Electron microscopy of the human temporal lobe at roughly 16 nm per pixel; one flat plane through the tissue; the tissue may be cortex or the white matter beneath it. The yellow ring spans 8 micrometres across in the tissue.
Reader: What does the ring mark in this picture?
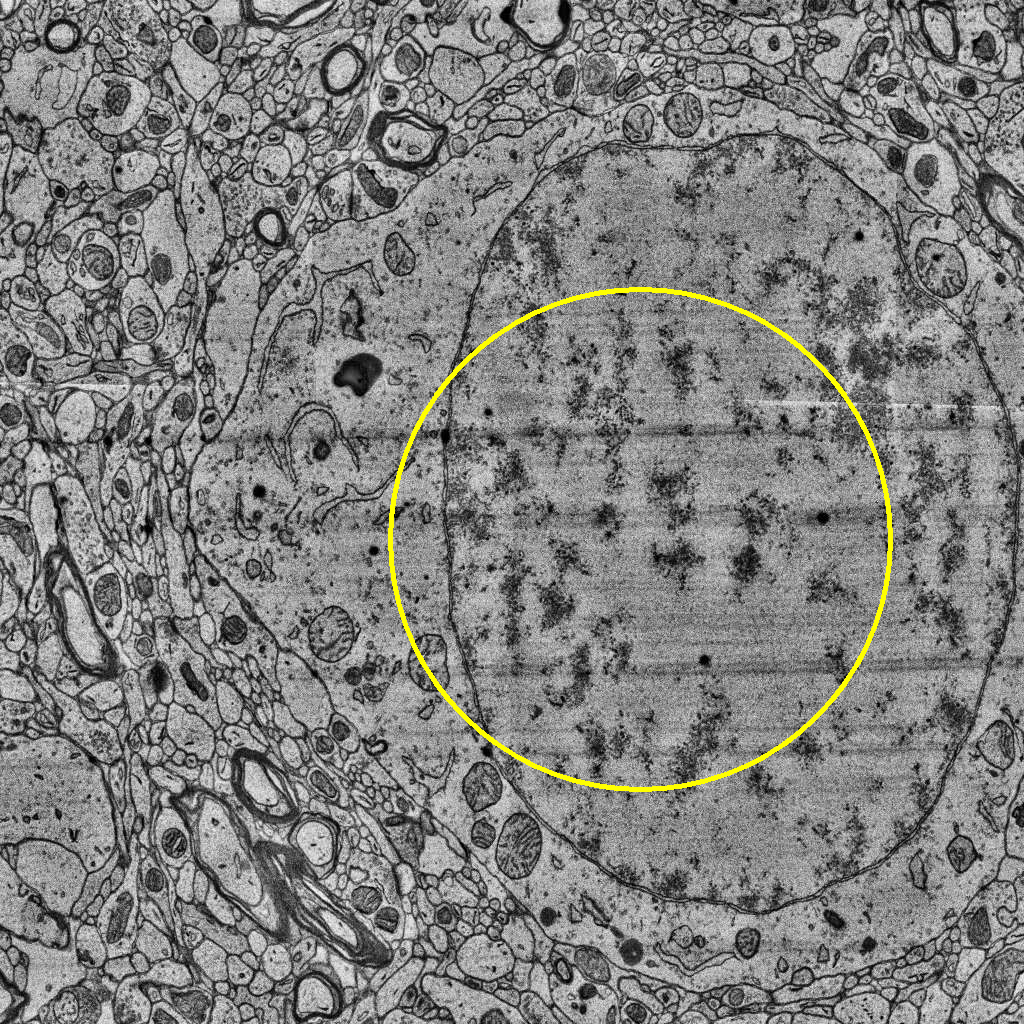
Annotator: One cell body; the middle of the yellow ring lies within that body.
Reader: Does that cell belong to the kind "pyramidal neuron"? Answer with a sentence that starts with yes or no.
Yes, in this picture the cell at the ring's centre belongs to that kind.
